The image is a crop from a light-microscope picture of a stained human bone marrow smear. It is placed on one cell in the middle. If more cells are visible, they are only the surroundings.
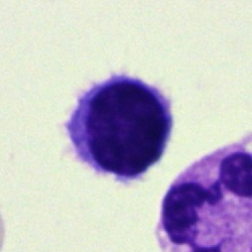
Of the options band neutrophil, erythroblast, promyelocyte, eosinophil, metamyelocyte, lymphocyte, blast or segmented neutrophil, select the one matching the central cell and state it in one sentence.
Regarding the central cell, it is a lymphocyte.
